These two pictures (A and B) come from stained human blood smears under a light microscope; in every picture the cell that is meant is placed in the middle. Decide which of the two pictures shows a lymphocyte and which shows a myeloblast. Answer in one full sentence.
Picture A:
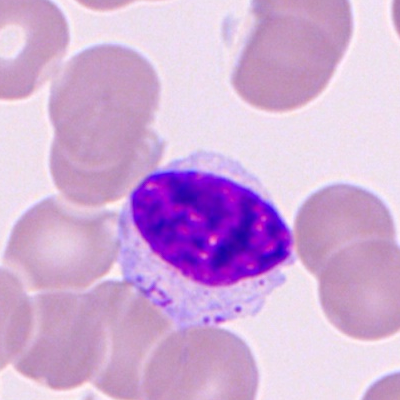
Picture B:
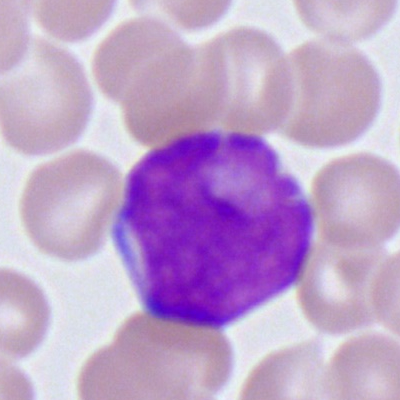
In picture A the cell is a lymphocyte; in picture B, a myeloblast.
